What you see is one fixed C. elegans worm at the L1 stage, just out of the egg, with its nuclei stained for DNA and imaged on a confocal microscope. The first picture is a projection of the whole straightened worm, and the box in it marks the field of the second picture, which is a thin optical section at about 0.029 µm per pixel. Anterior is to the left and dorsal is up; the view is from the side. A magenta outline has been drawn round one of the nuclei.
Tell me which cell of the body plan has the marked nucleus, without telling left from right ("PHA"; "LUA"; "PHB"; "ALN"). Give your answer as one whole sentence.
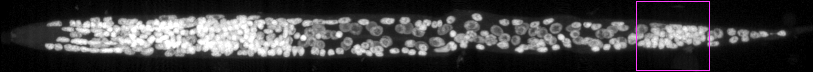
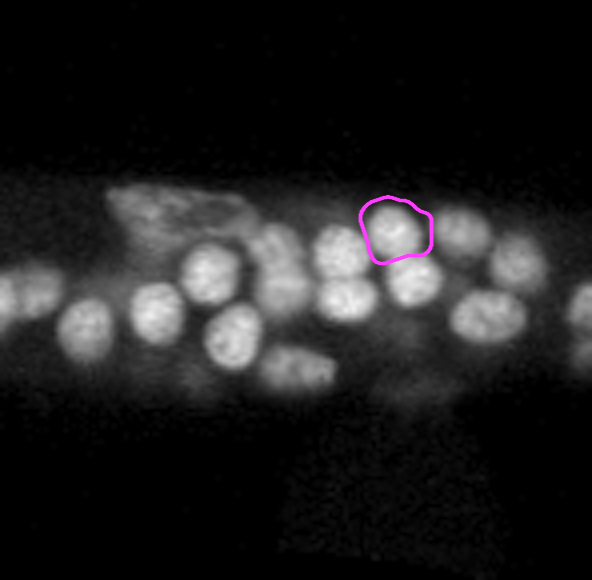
The marked nucleus belongs to LUA, a neuron.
